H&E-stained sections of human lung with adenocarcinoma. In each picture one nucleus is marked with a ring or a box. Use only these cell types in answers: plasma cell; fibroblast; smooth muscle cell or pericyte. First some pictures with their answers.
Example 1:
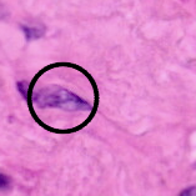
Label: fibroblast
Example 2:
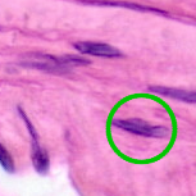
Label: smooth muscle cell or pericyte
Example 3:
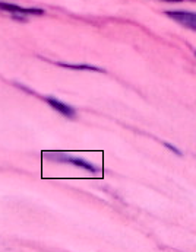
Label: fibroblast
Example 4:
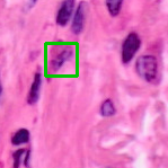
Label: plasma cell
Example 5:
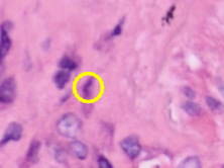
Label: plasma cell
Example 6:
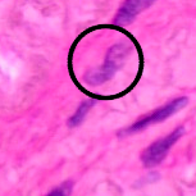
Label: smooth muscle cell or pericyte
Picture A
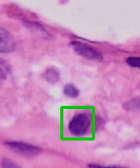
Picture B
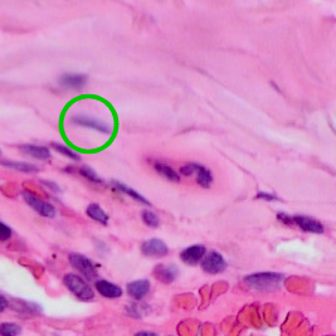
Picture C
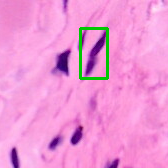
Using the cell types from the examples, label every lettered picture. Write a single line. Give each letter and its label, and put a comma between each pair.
A plasma cell, B fibroblast, C fibroblast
